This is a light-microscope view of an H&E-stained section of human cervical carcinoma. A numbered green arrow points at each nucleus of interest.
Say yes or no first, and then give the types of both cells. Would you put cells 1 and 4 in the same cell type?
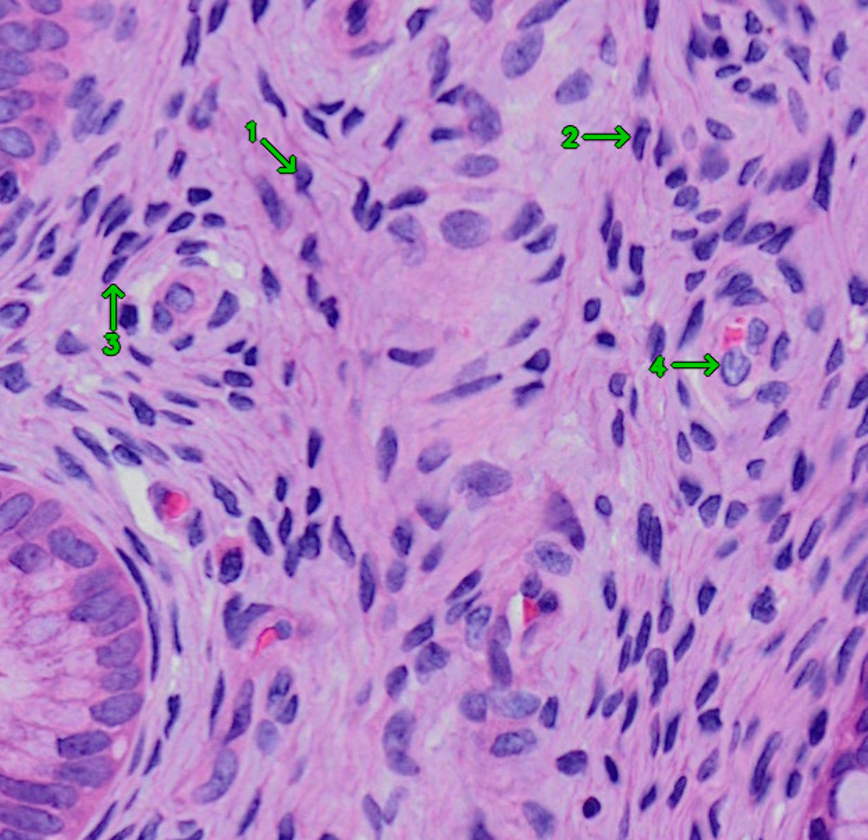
No, cell 1 is a fibroblast and cell 4 is an endothelial cell.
